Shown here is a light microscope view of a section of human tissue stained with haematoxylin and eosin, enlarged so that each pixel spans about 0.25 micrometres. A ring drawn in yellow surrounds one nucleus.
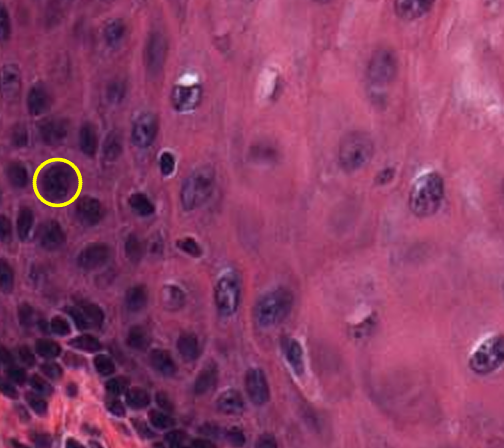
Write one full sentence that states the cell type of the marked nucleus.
The marked nucleus is part of a squamous epithelial cell.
